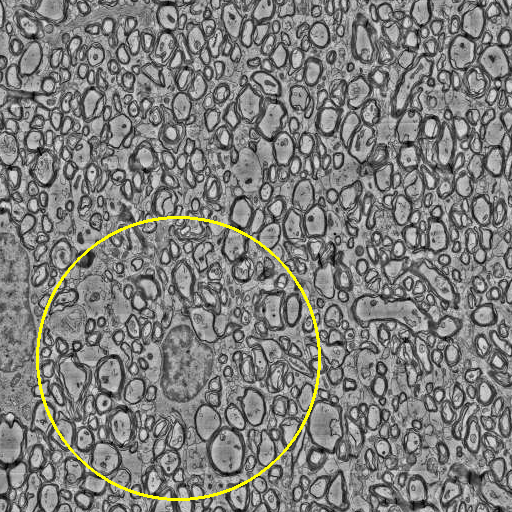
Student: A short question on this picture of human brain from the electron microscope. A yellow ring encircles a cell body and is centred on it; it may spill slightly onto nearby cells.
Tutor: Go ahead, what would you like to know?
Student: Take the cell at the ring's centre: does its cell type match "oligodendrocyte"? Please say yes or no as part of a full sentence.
Yes, in the picture, the cell at the ring's centre has that cell type.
